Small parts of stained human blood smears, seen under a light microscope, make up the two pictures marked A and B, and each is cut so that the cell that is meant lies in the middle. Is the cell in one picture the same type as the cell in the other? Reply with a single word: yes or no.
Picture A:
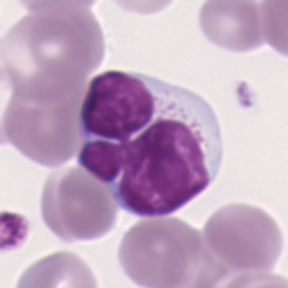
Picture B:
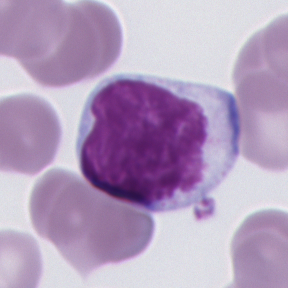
yes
